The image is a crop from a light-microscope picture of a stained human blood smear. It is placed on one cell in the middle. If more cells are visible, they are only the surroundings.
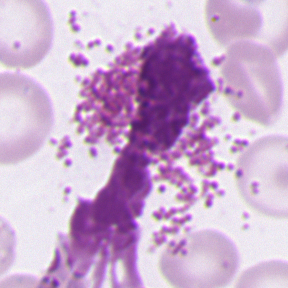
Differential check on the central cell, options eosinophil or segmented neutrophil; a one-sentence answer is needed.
In this smear crop, the middle cell is an eosinophil.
